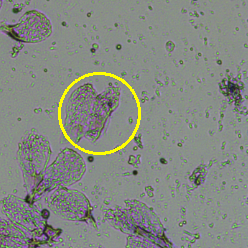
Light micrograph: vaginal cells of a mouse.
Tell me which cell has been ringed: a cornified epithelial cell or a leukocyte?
It is a cornified epithelial cell.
